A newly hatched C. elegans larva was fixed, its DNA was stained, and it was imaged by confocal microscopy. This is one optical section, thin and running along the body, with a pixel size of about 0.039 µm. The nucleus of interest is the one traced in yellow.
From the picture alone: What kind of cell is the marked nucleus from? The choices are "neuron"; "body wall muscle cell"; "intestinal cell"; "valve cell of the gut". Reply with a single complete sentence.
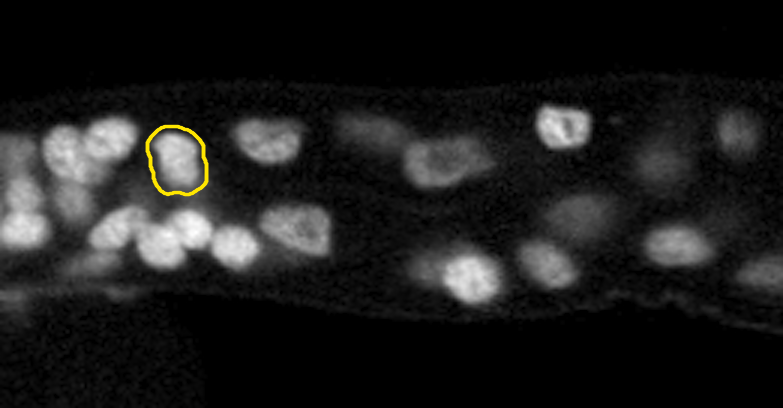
This nucleus is from a valve cell of the gut.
